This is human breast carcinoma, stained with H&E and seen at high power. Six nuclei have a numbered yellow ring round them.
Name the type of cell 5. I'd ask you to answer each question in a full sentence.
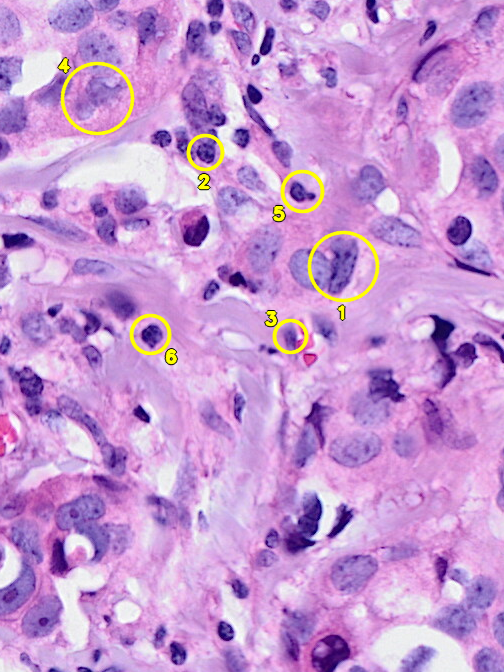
The cell that is numbered 5 is a lymphocyte.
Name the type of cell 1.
The marked cell bearing number 1 is a carcinoma cell.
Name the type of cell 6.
The cell with the number 6 is a lymphocyte.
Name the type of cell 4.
The cell pointed out by number 4 is a carcinoma cell.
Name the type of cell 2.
The numeral 2 marks a lymphocyte in this section.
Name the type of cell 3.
Of the numbered cells, the one labelled 3 is an endothelial cell.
